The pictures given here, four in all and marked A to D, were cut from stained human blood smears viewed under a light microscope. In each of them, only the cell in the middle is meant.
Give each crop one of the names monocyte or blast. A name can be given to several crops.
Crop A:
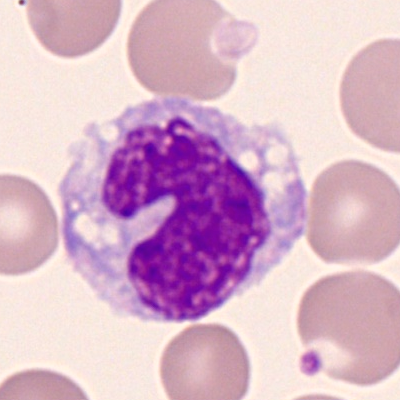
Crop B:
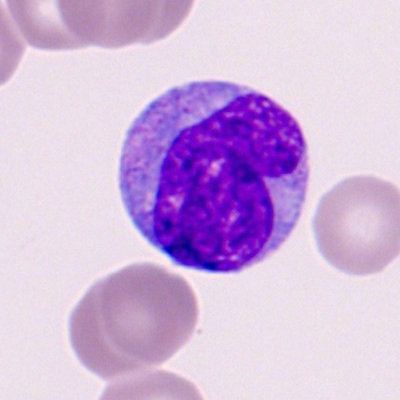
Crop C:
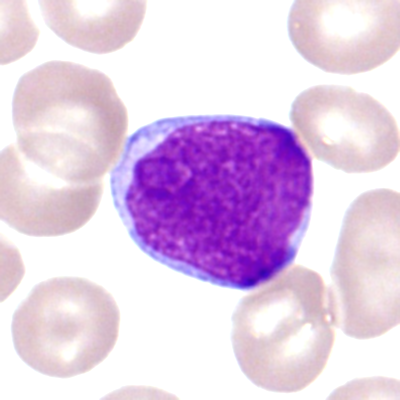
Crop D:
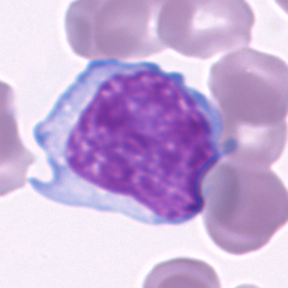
A: monocyte
B: monocyte
C: blast
D: blast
